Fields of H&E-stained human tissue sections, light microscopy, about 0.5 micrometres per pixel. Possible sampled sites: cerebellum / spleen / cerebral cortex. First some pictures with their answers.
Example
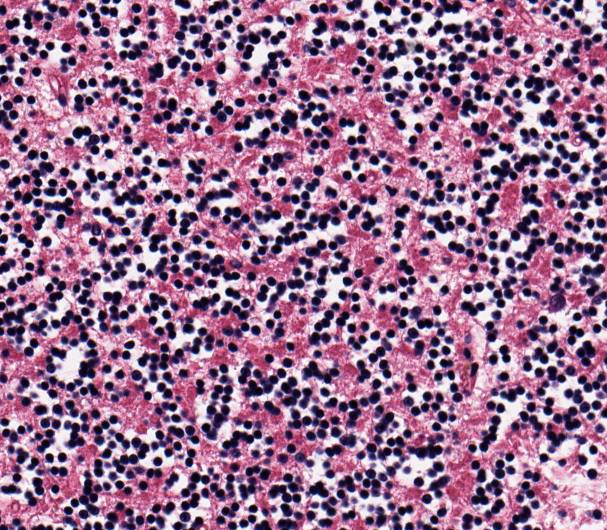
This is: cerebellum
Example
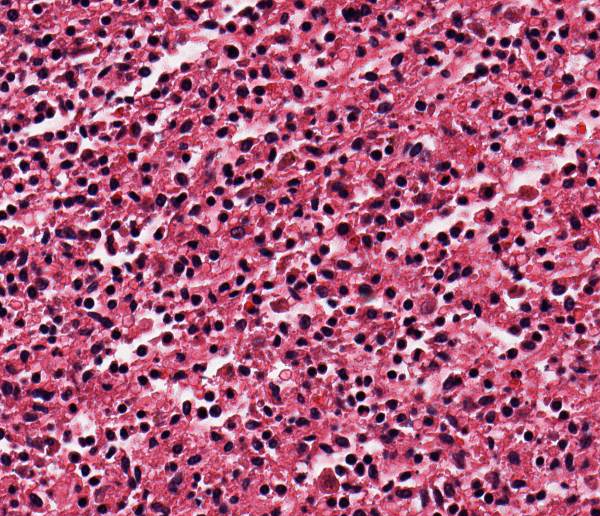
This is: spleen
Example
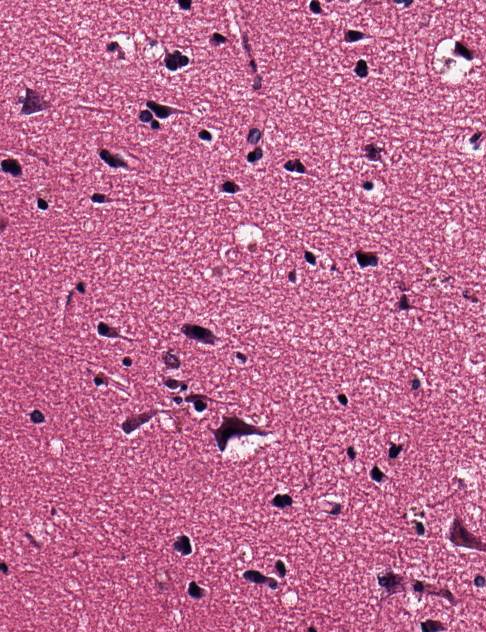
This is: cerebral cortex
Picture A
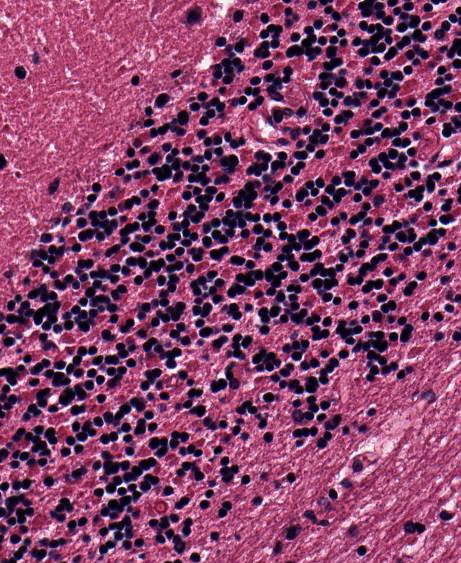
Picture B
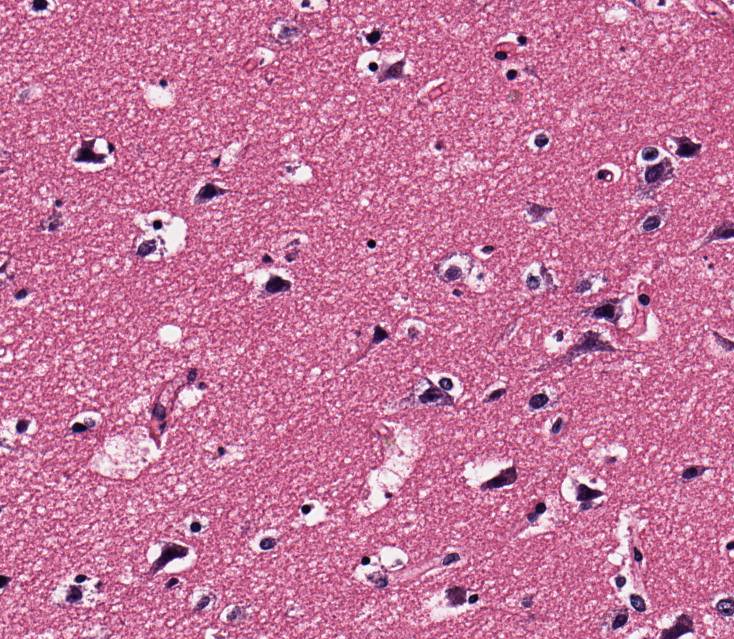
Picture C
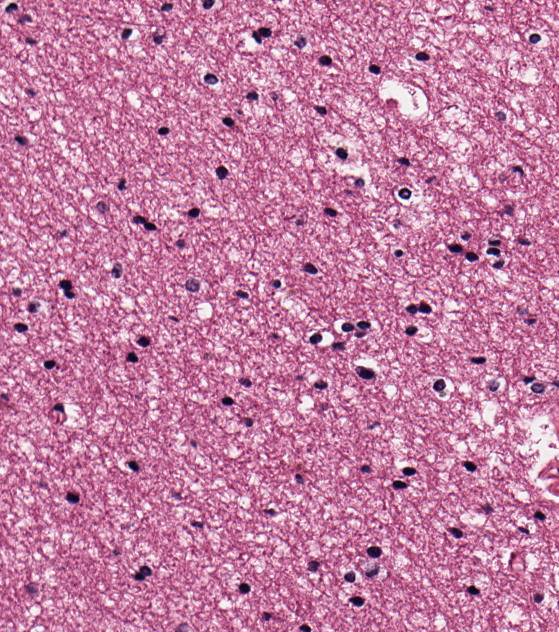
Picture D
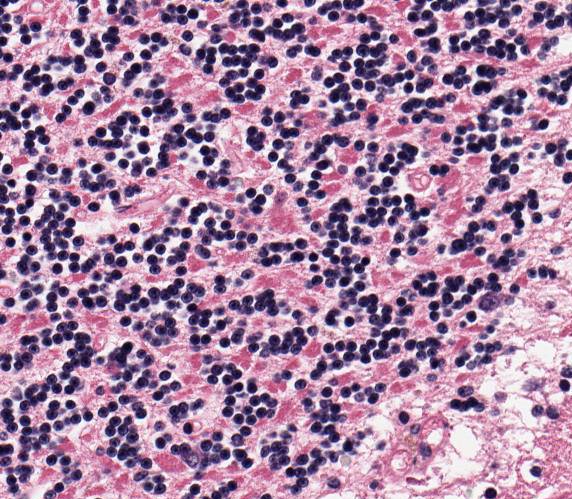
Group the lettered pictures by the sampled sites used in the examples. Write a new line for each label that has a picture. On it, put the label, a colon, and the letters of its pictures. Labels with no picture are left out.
cerebellum: A, D
cerebral cortex: B, C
